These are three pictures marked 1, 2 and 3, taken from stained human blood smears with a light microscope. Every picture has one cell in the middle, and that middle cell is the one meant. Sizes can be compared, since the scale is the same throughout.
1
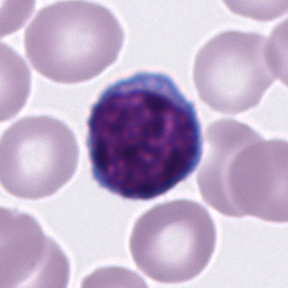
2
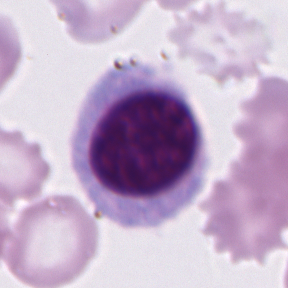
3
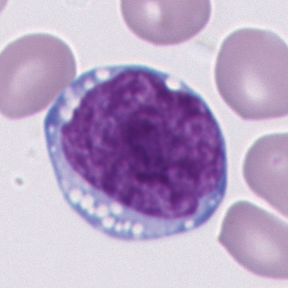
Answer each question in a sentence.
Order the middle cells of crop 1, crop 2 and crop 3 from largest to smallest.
The order is 3, 2, 1, beginning with the largest.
